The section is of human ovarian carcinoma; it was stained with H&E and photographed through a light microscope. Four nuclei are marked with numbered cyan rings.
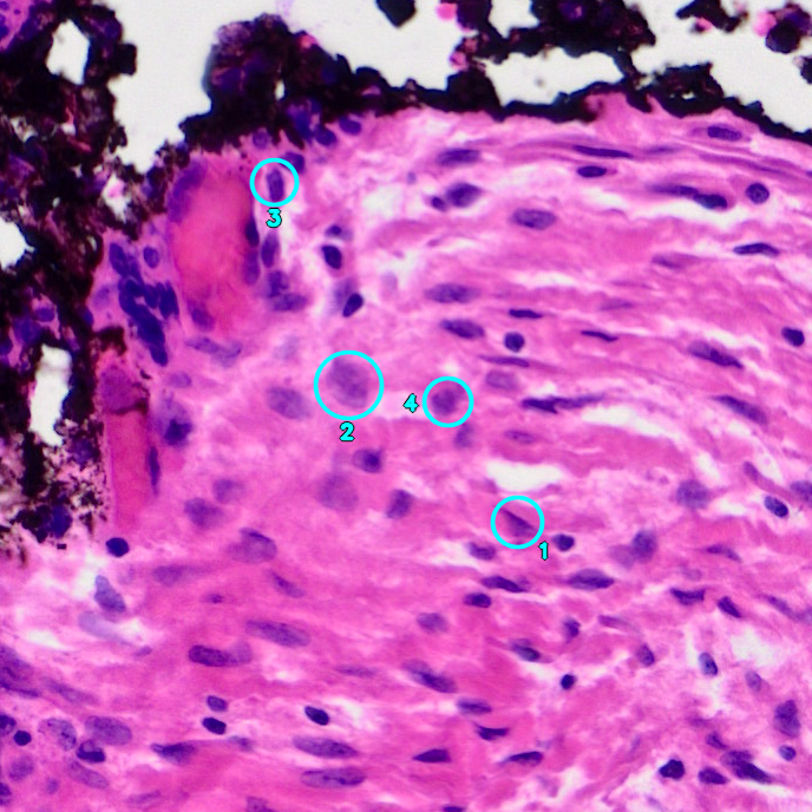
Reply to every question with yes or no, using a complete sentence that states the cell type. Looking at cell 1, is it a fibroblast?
Yes, it is a fibroblast that carries the number 1.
